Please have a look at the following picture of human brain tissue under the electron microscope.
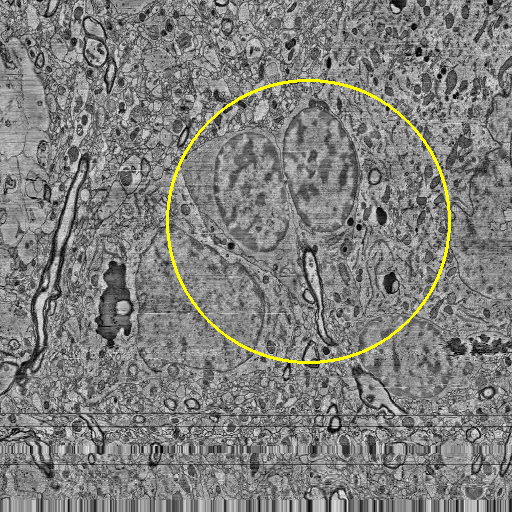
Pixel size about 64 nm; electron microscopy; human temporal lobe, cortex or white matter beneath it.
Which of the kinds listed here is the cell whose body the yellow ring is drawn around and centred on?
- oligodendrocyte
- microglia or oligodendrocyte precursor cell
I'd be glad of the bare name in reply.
oligodendrocyte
